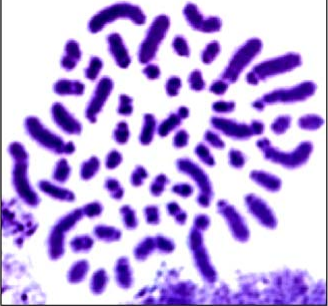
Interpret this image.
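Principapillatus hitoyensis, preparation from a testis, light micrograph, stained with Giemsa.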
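The chromosomes lie separated from one another in a roughly circular cluster, with no nuclear outline around them. They vary widely in size. Long, often curved rod-shaped chromosomes lie mostly toward the edge of the spread. Many short, compact chromosomes lie mostly toward its centre. Granular purple debris lies outside the spread at the lower left and along the bottom.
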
